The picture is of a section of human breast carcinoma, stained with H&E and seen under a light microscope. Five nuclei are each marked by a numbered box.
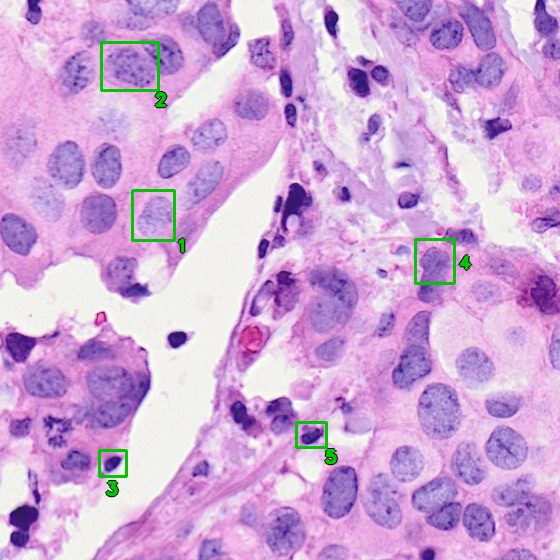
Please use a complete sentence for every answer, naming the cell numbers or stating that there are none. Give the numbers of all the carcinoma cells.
The cells that bear the numbers 1, 2 and 4 are carcinoma cells.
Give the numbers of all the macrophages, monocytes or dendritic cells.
By cell type, the numbered cells include no macrophages, monocytes or dendritic cells.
